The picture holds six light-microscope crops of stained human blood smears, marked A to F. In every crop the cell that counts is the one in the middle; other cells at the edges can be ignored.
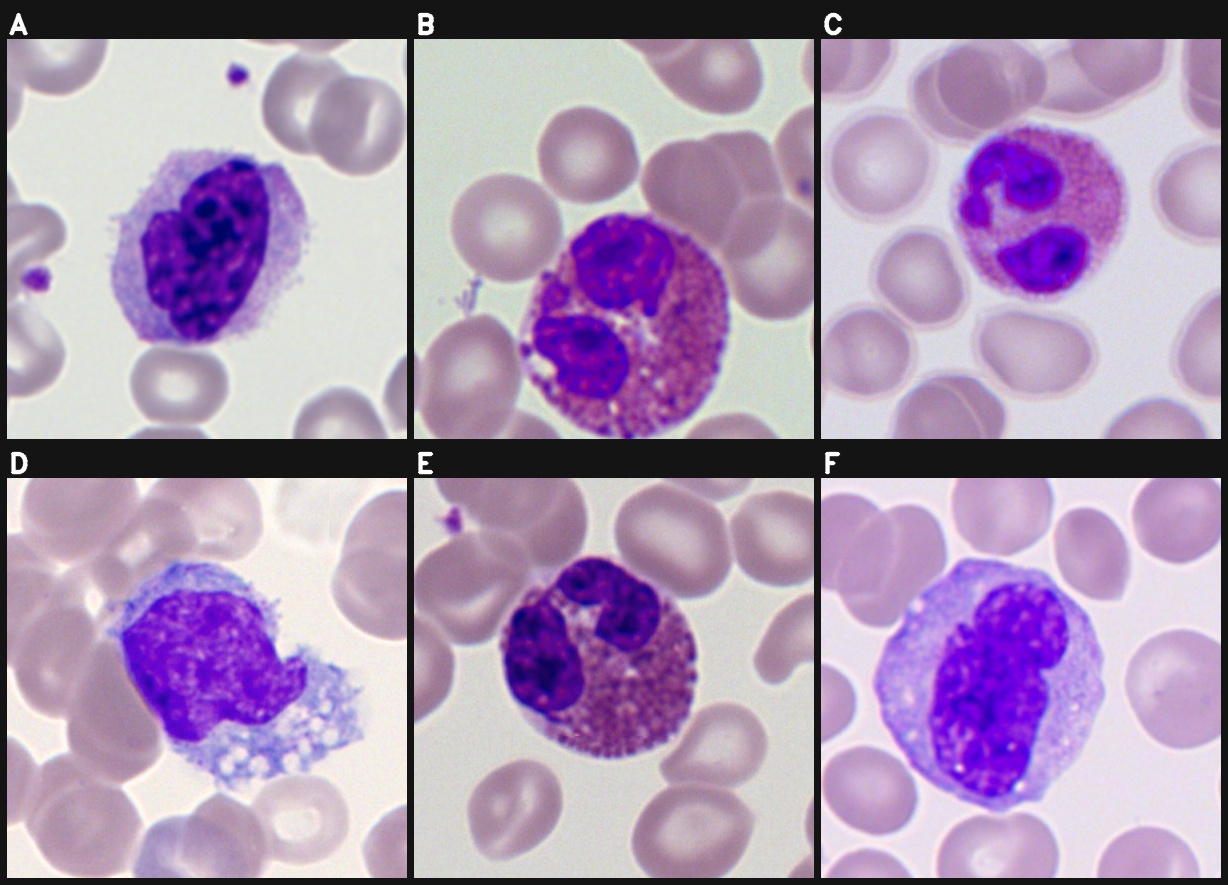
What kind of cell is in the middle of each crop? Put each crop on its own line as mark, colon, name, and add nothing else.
A: monocyte
B: eosinophil
C: eosinophil
D: monocyte
E: eosinophil
F: monocyte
